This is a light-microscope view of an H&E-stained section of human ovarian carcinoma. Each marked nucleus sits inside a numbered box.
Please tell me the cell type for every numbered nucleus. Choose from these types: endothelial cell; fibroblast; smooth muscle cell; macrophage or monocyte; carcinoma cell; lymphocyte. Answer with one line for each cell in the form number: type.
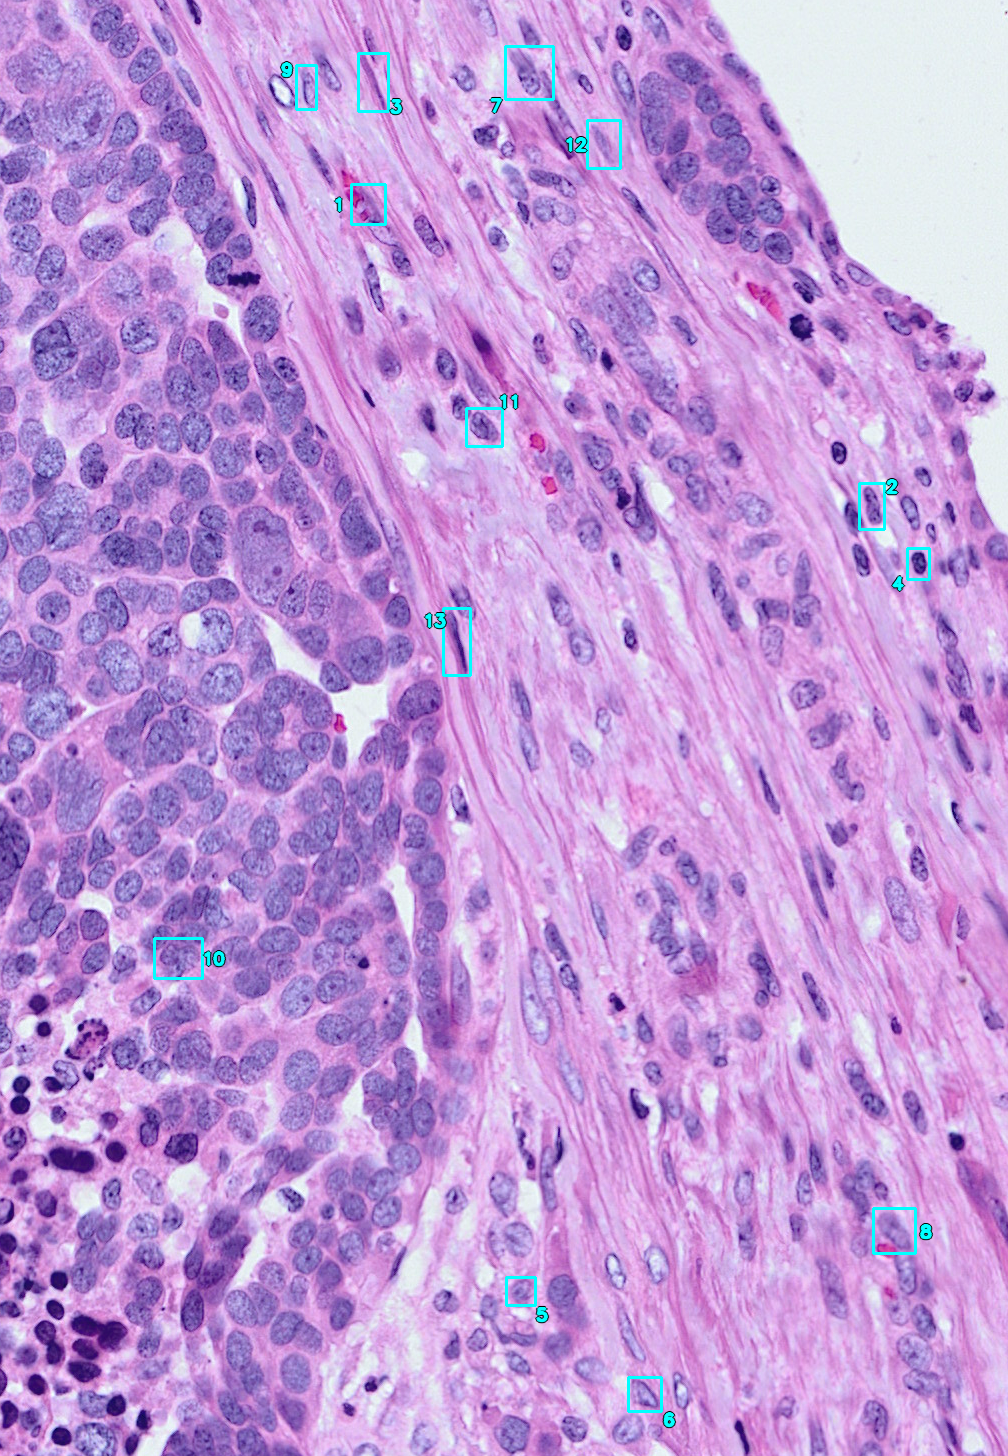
1: endothelial cell
2: macrophage or monocyte
3: fibroblast
4: lymphocyte
5: fibroblast
6: fibroblast
7: macrophage or monocyte
8: endothelial cell
9: fibroblast
10: carcinoma cell
11: macrophage or monocyte
12: fibroblast
13: fibroblast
